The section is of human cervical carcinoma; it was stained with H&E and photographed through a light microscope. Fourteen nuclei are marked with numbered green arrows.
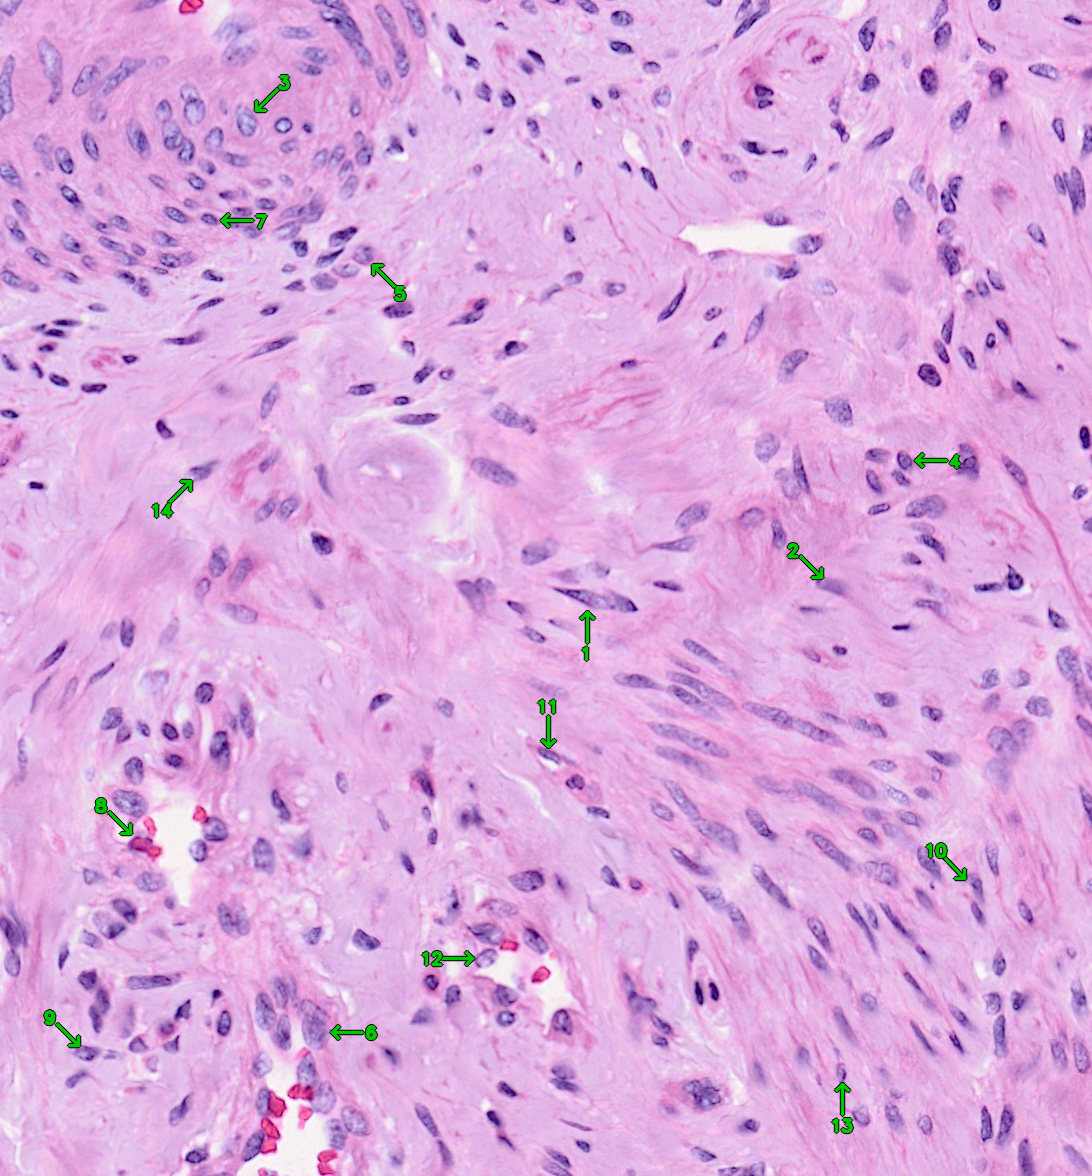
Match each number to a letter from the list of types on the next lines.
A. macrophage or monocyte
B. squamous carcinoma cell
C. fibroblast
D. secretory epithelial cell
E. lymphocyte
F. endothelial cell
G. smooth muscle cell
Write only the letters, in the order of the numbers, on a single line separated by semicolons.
C; C; G; G; F; F; G; F; C; G; F; F; G; C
